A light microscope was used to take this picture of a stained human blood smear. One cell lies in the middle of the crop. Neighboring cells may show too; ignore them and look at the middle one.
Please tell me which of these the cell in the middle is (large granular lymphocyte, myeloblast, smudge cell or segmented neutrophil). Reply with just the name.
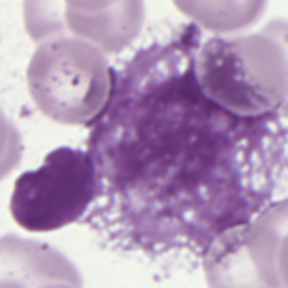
smudge cell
